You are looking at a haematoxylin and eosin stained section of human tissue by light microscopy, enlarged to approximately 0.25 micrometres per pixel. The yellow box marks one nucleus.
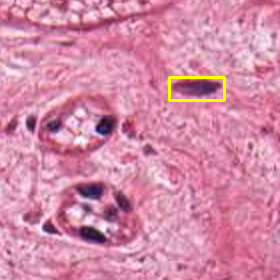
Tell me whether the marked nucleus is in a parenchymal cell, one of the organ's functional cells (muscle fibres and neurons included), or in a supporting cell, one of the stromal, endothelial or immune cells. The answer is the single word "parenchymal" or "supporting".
supporting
